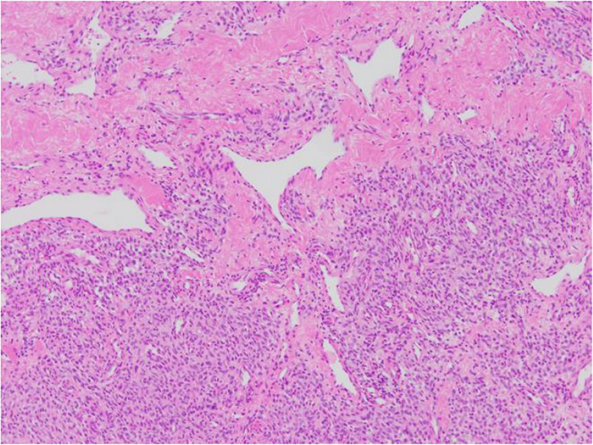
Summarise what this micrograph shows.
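This is a spindle cell tumour at medium power, with sheets of tightly packed spindle cells in the lower half and thick pink collagen bands above. The cells have elongated, darkly staining nuclei and scant, poorly defined cytoplasm. They do not form orderly fascicles but lie haphazardly between the collagen. Numerous thin-walled, open, branching blood vessels of varying size run through both the cellular and the collagenous areas, some with angular outlines.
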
